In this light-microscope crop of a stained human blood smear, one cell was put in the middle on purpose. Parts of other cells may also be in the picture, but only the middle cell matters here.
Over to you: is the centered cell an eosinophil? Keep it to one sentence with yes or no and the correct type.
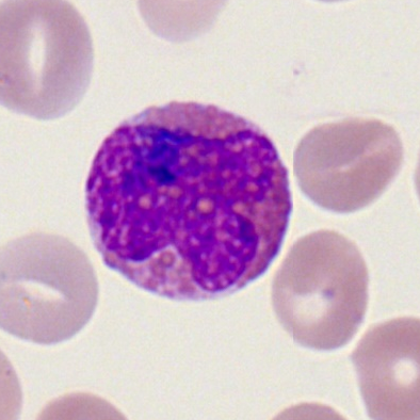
Yes, it is an eosinophil that occupies the centre of the crop.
